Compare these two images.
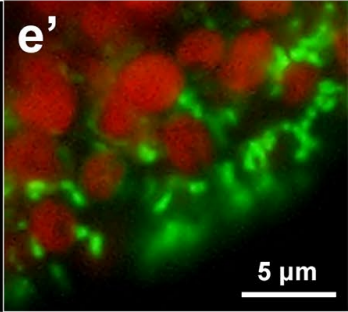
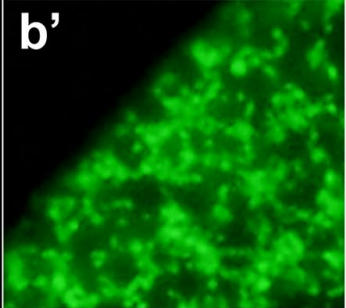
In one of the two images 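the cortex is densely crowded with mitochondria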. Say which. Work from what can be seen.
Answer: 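First image: scattered green rods lie between large red bodies, with much dark space. On this evidence: the second image.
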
